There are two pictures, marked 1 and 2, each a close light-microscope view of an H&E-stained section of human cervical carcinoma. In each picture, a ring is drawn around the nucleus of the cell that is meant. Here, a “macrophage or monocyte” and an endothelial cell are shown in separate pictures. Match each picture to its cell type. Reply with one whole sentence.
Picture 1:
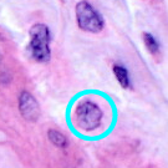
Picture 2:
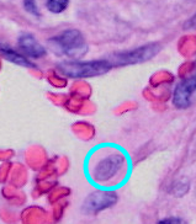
In picture 1 the cell is a “macrophage or monocyte”; in picture 2, an endothelial cell.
